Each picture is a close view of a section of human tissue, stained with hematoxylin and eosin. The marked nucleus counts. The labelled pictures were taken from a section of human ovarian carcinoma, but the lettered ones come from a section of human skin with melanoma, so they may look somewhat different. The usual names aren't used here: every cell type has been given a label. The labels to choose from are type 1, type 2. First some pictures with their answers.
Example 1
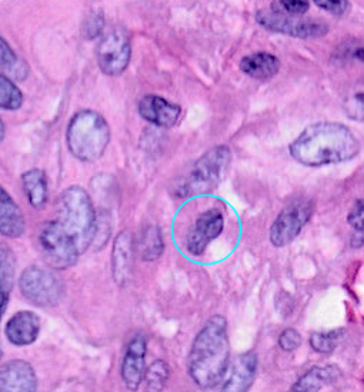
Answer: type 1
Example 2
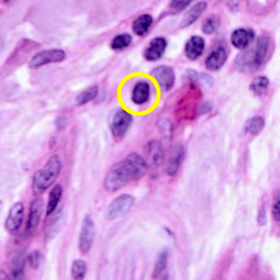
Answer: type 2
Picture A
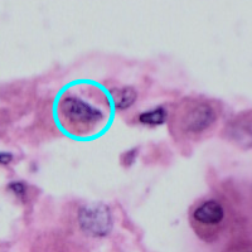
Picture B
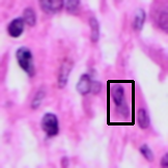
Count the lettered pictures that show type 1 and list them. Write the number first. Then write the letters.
2, namely A, B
